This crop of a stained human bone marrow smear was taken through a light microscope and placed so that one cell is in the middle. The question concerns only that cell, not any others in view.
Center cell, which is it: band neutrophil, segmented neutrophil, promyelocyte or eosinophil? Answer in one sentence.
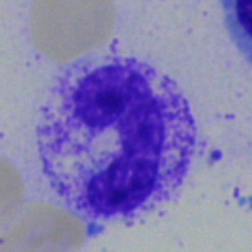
Classification of the middle cell gives a band neutrophil.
